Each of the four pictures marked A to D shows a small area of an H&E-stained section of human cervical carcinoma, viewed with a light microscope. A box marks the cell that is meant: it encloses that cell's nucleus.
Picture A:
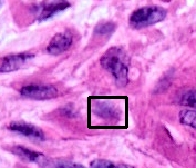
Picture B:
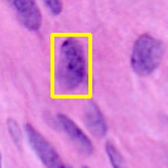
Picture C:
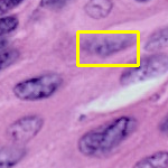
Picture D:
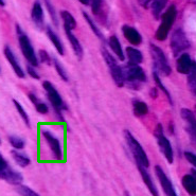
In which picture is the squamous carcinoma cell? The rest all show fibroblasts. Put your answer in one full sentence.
It is picture C that shows the squamous carcinoma cell.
